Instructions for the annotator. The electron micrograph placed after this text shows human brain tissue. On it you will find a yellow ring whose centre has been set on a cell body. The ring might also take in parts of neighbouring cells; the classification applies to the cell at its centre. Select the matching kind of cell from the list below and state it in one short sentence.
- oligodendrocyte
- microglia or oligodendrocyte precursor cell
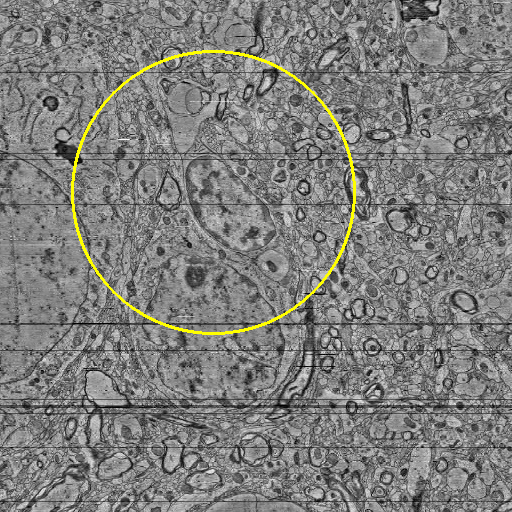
The ring is drawn on the cell body of a microglial cell or oligodendrocyte precursor cell.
